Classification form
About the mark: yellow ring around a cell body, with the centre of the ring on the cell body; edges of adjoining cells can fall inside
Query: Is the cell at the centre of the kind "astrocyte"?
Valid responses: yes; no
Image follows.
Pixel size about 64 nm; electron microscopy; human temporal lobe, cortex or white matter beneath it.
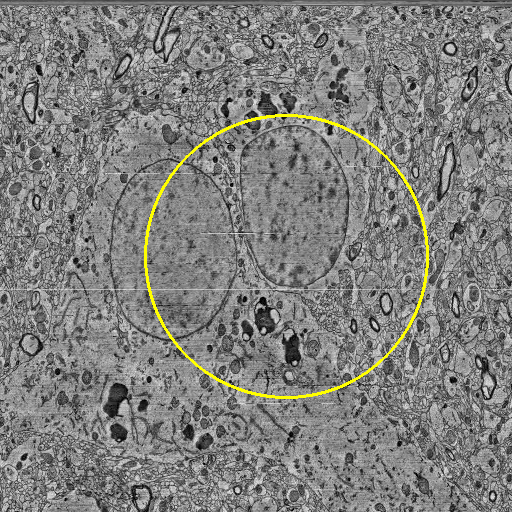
yes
